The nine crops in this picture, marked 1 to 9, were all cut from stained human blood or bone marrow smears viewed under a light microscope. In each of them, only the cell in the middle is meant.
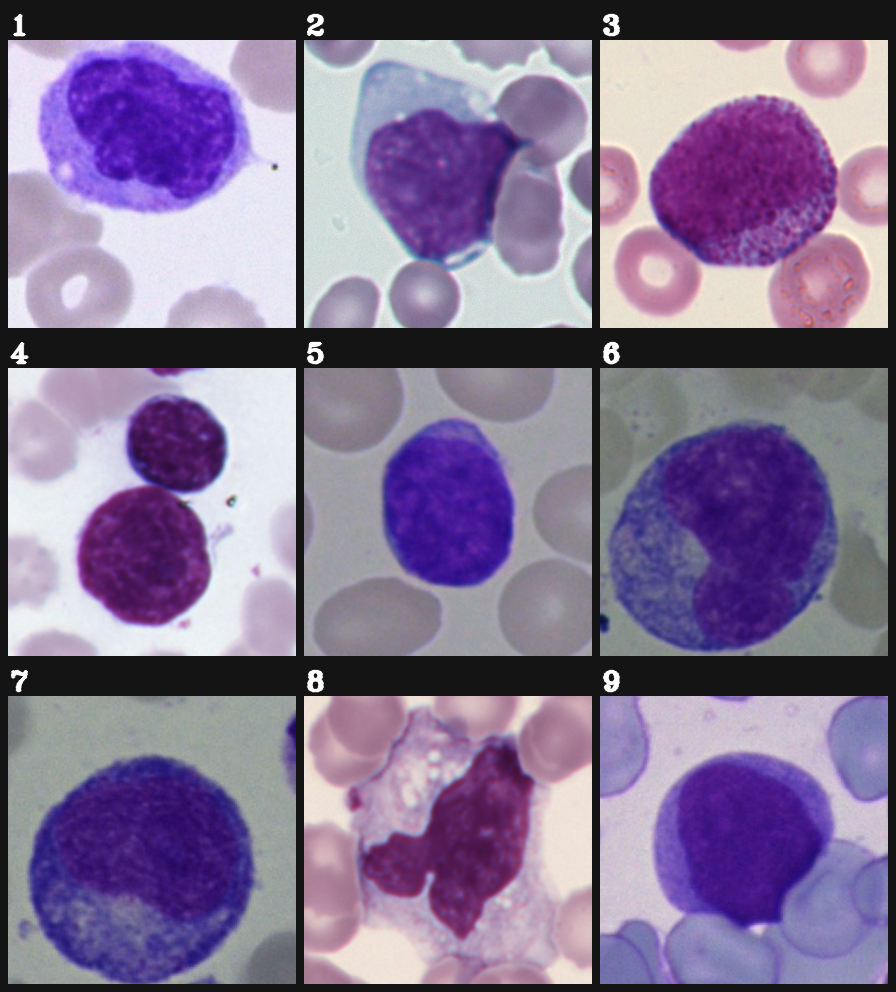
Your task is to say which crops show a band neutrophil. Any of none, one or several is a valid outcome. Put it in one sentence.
Not shown in any of the crops is a band neutrophil.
